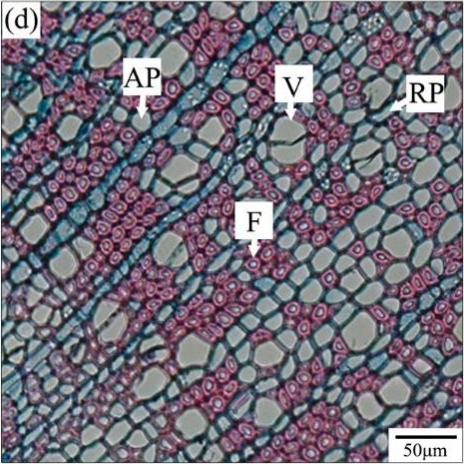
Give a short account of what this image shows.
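This is wood in cross section, with large, angular, empty-looking vessels set among clusters of small fibers. The fibers have thick, red-stained walls and small round lumens. Narrow rows of ray parenchyma with blue-stained walls run diagonally between the fiber groups.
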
